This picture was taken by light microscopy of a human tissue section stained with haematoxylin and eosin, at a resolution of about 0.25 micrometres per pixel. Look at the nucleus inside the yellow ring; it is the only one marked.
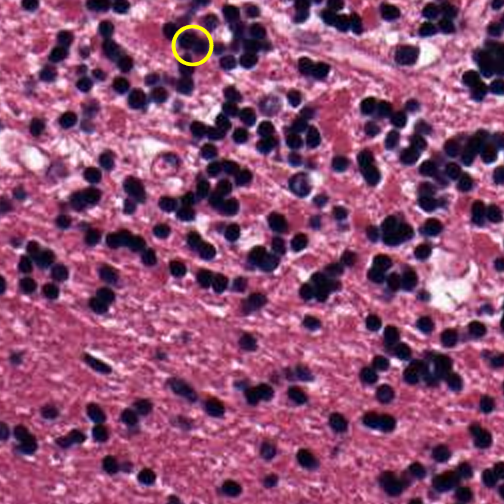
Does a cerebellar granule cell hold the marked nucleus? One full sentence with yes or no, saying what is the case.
Yes, the marked nucleus belongs, in this section, to a cerebellar granule cell.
